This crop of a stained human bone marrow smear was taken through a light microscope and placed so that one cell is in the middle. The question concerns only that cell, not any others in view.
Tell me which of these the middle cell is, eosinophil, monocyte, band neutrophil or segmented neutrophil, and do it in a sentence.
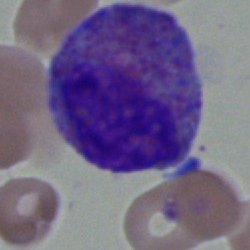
Located at the centre of the crop is an eosinophil.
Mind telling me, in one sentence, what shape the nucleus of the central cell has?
Please observe that the nucleus consists of one compact round, oval or kidney-shaped mass.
